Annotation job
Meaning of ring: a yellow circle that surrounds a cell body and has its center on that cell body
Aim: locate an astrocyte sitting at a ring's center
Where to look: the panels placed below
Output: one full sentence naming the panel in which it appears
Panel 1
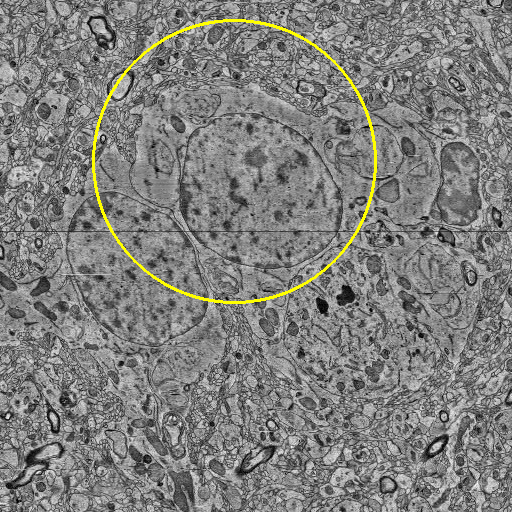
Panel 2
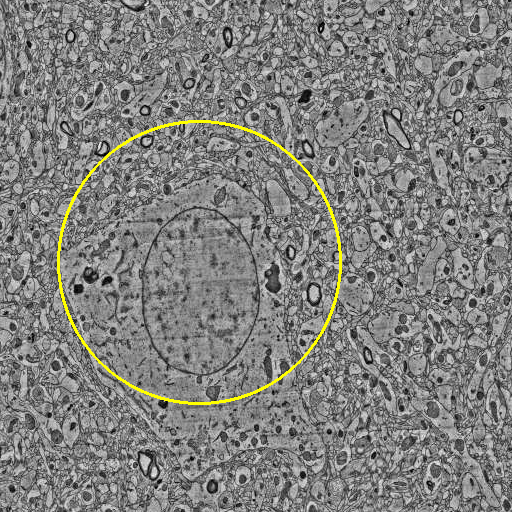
The cell at the center of the ring in panel 1 is the one sought.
